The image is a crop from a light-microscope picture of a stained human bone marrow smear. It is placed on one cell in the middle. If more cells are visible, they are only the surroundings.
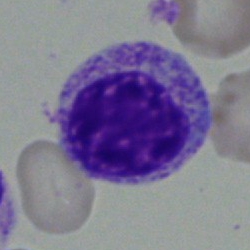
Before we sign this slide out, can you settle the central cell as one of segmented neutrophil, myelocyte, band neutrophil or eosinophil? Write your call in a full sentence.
The cell found in the middle of this crop is a myelocyte.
